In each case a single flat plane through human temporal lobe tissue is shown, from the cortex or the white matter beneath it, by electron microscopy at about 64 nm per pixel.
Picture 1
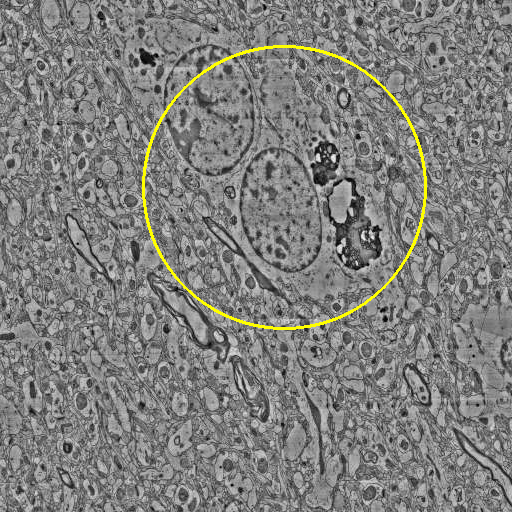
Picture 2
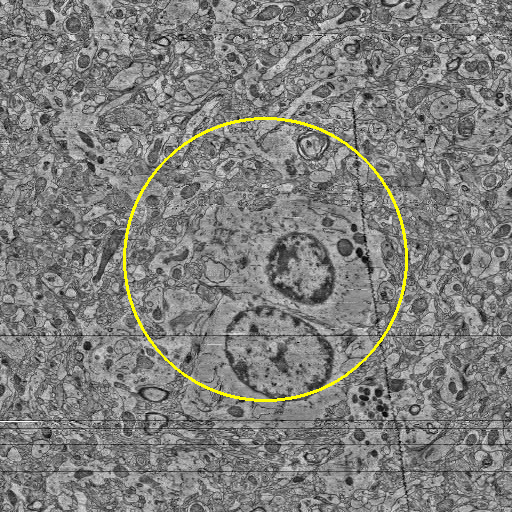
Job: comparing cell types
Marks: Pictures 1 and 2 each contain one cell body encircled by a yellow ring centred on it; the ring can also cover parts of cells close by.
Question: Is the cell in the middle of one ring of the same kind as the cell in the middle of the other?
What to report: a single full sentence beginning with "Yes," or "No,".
Yes, the cell at the ring centre in Picture 1 and its partner in Picture 2 are of one kind.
